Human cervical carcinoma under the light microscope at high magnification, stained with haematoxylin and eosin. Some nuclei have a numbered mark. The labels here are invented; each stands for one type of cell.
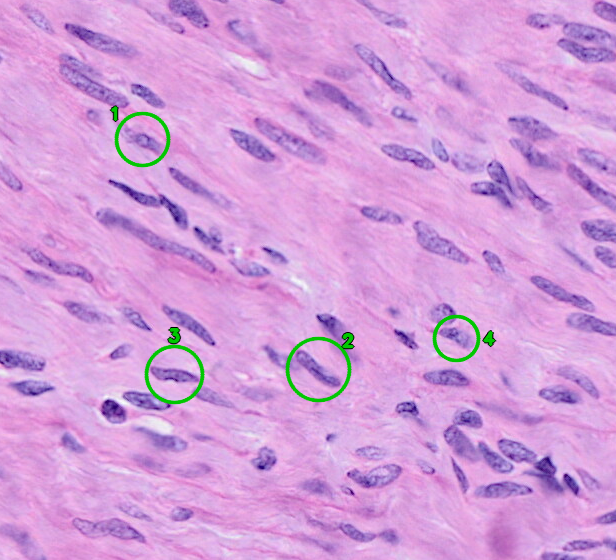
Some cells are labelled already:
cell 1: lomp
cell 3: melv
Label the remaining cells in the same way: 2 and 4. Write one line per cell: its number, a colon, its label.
2: melv
4: melv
